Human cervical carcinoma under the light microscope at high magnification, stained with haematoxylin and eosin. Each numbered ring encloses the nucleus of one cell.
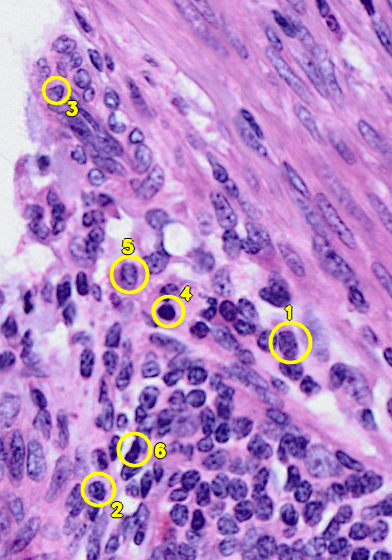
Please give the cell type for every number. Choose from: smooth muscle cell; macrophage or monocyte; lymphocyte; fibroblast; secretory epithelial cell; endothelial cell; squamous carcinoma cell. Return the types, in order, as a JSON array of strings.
["lymphocyte", "lymphocyte", "endothelial cell", "lymphocyte", "macrophage or monocyte", "lymphocyte"]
